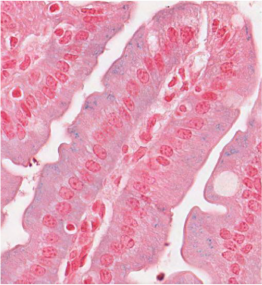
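This is a villus tip of the small intestine covered by a single layer of tall columnar absorptive epithelial cells. The nuclei are oval to elongated and stained pink-red, lined up in a row within the epithelium. A narrow core of connective tissue with scattered small cells and capillaries runs up the centre of the villus. The epithelium faces open lumen on both sides, with a neighbouring villus at the edge of the field.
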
